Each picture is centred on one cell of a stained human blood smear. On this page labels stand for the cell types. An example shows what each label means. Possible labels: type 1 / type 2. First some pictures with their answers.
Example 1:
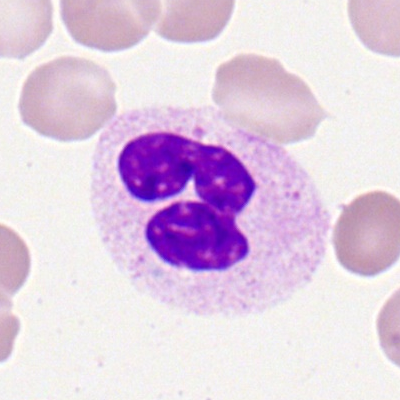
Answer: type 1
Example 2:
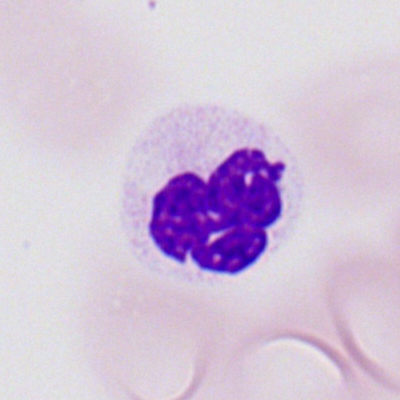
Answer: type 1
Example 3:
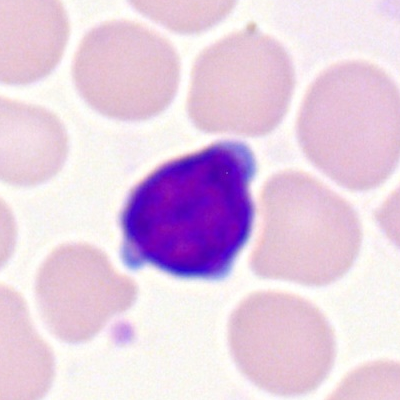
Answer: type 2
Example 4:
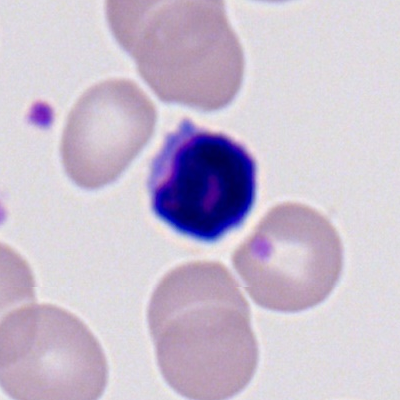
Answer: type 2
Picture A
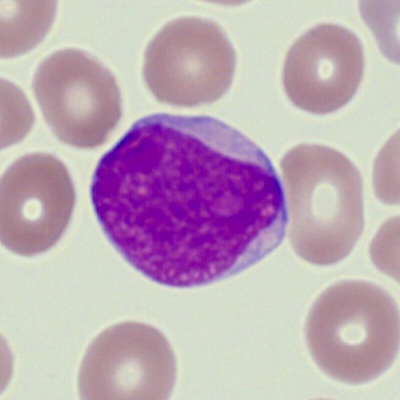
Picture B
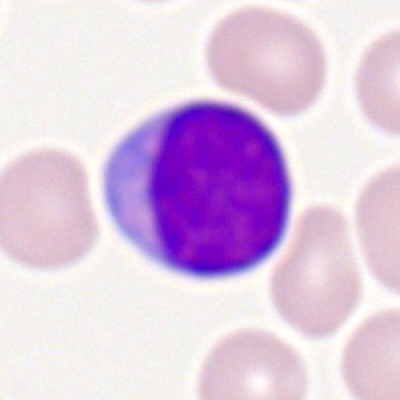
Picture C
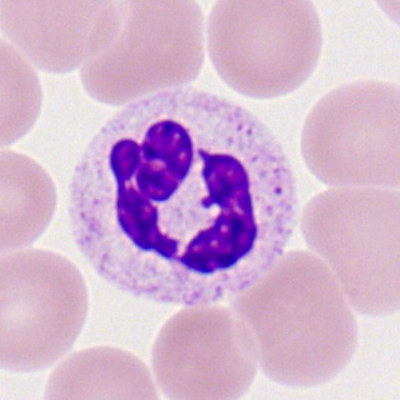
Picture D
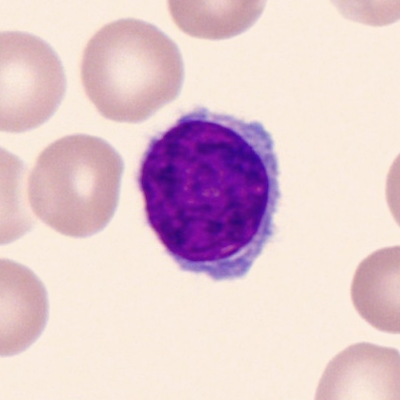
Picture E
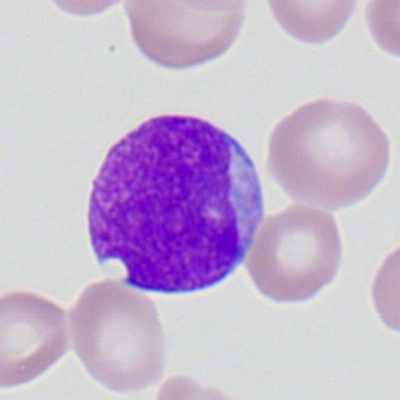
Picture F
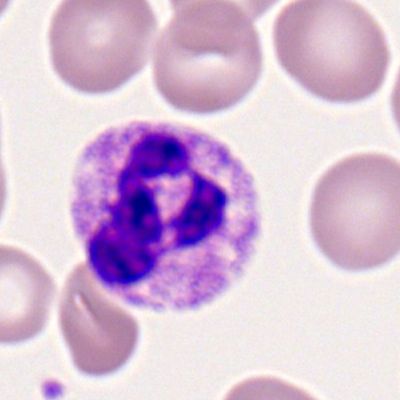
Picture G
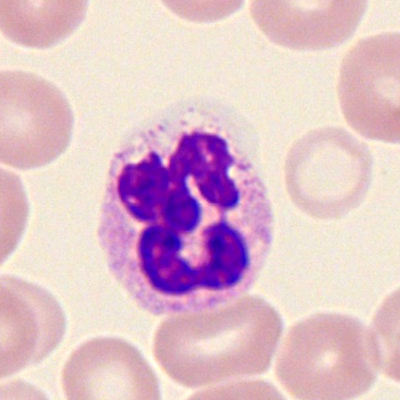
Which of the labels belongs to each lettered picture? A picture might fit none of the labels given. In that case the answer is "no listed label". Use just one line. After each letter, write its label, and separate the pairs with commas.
A no listed label, B no listed label, C type 1, D type 2, E no listed label, F type 1, G type 1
